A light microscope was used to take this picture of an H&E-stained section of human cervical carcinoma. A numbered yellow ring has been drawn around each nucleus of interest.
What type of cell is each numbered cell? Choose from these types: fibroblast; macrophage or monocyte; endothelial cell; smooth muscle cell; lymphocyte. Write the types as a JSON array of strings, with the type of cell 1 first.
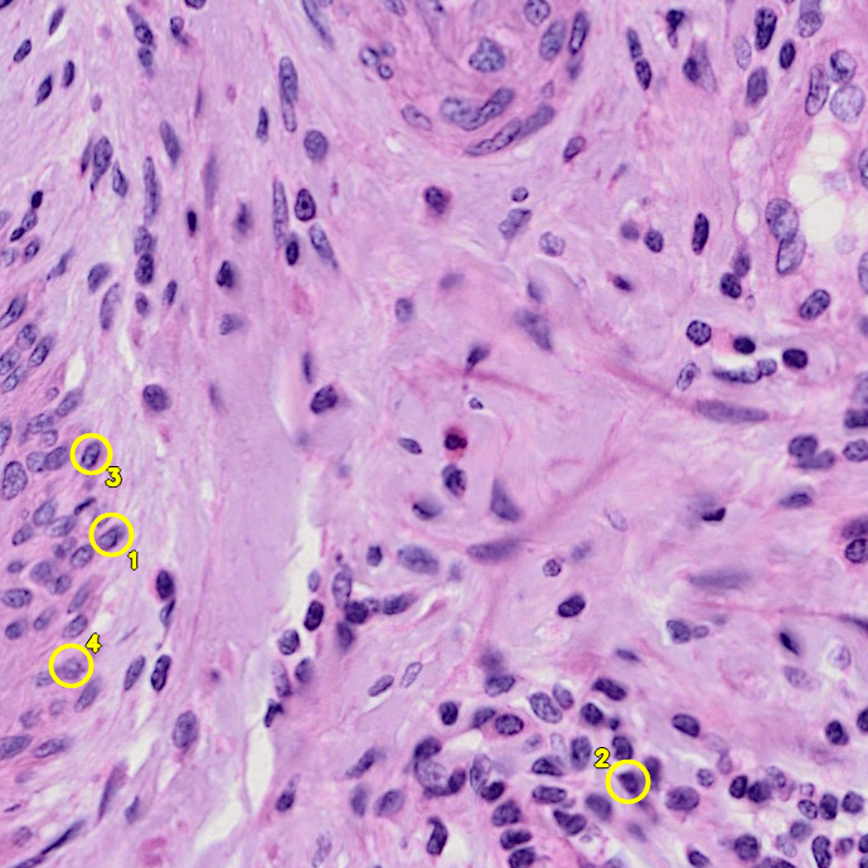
["smooth muscle cell", "lymphocyte", "smooth muscle cell", "smooth muscle cell"]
